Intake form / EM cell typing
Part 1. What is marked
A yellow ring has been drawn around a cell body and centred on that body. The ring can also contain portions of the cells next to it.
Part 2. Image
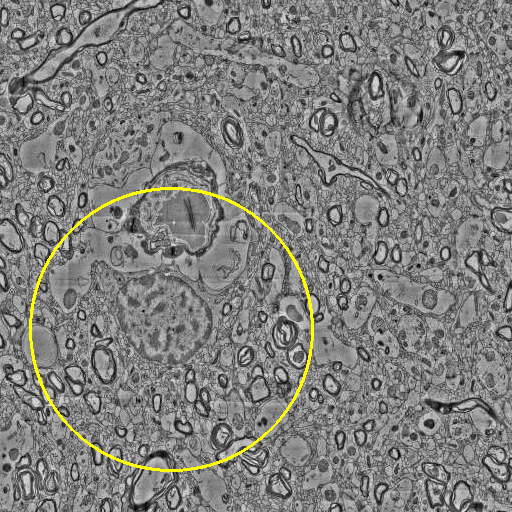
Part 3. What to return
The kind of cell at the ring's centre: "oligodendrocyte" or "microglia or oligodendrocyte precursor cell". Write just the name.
oligodendrocyte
